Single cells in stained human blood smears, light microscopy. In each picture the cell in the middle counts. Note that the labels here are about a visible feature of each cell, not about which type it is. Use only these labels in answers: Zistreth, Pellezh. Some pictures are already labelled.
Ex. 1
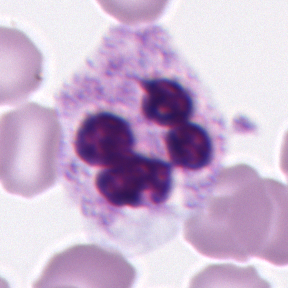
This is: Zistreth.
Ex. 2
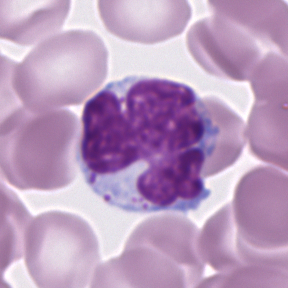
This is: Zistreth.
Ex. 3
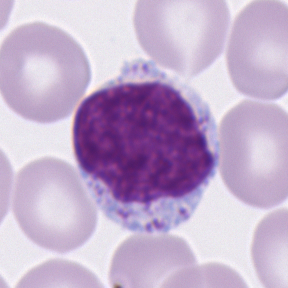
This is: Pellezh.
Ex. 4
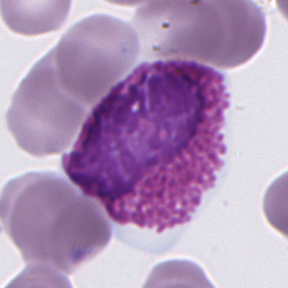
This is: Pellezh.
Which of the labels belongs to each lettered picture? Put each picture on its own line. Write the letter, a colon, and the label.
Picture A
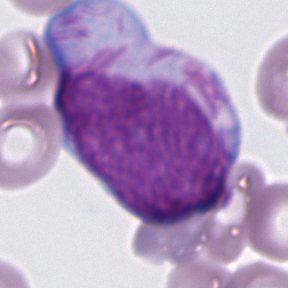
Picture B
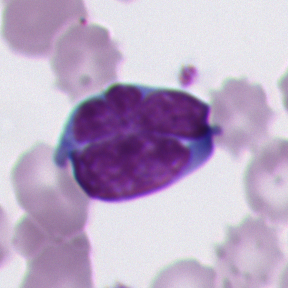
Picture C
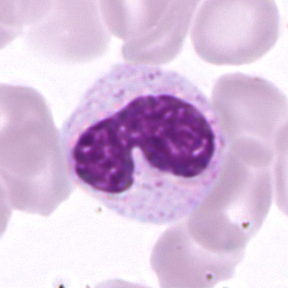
A: Pellezh.
B: Zistreth.
C: Pellezh.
